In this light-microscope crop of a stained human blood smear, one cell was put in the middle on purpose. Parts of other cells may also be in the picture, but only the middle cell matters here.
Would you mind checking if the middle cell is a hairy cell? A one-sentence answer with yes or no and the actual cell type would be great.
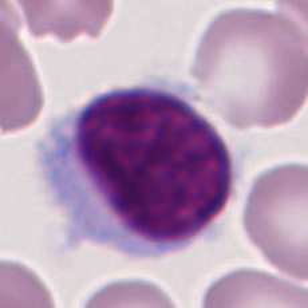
Yes, the cell at the middle of the frame is a hairy cell.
